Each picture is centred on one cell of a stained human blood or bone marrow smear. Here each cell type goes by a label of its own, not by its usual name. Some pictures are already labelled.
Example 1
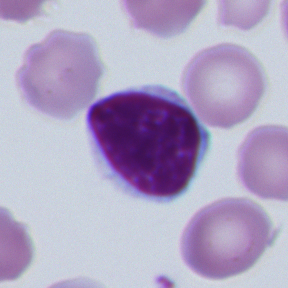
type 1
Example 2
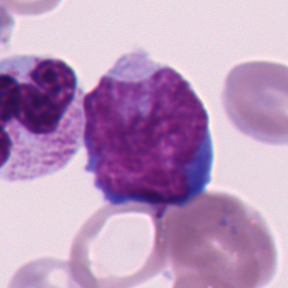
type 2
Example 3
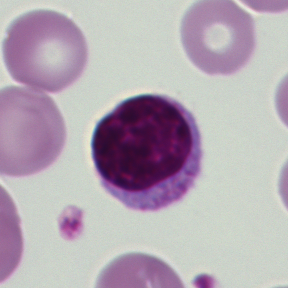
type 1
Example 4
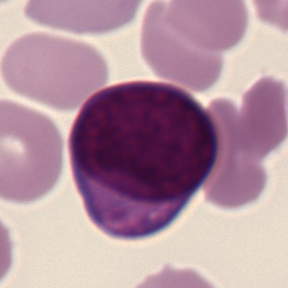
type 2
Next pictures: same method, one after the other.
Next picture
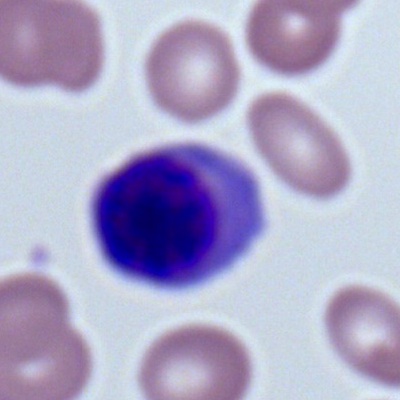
type 1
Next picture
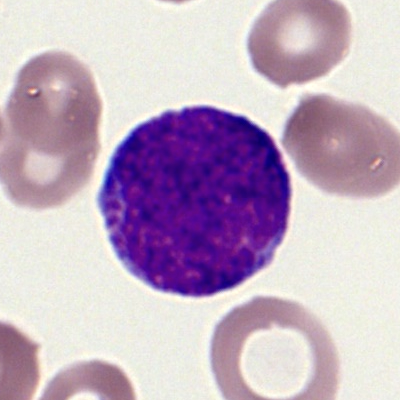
type 2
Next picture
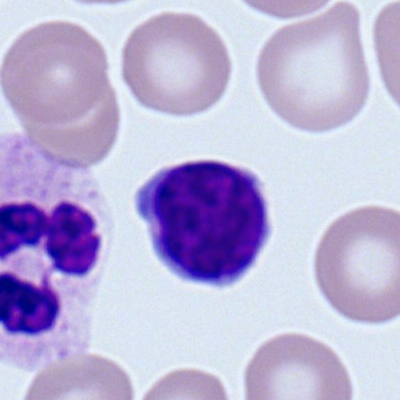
type 1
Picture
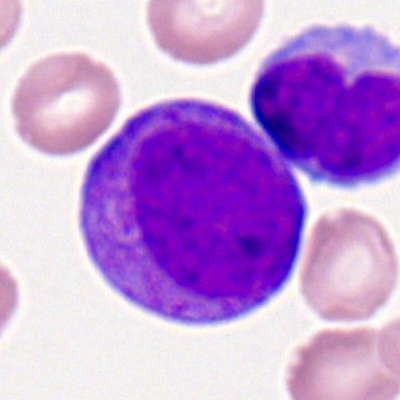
type 2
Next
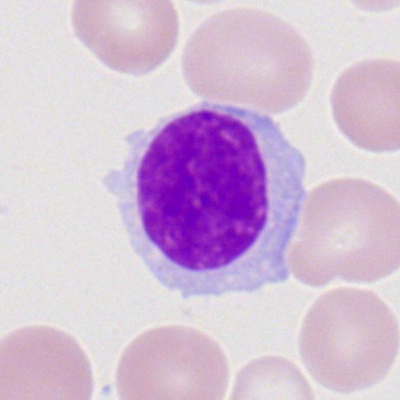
type 1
